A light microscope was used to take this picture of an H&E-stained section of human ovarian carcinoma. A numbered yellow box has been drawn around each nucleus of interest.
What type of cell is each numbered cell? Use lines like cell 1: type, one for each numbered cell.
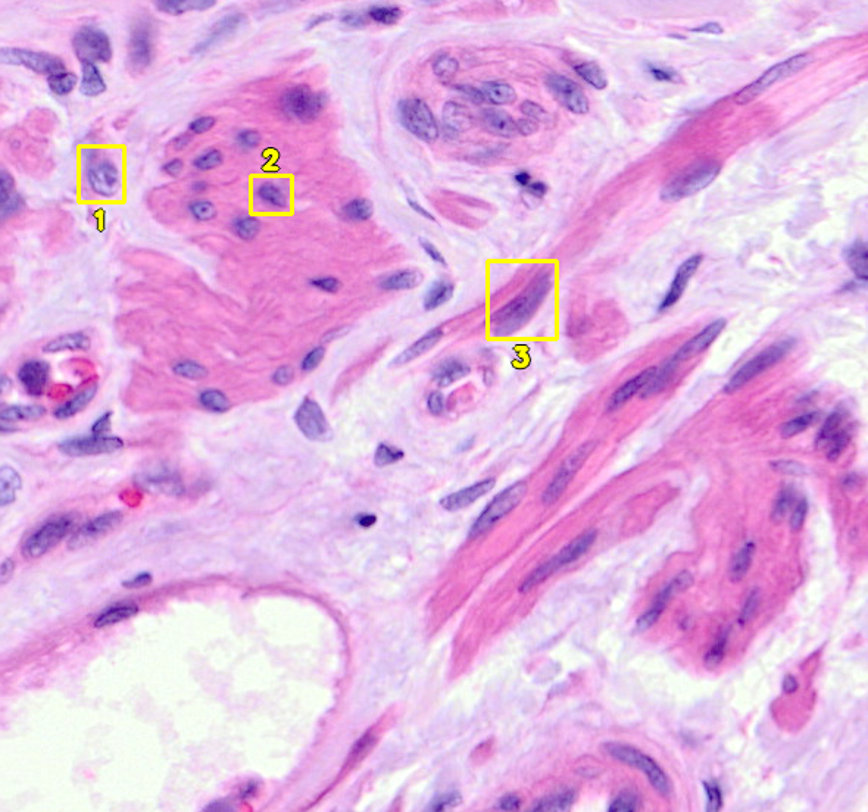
cell 1: endothelial cell
cell 2: smooth muscle cell
cell 3: smooth muscle cell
